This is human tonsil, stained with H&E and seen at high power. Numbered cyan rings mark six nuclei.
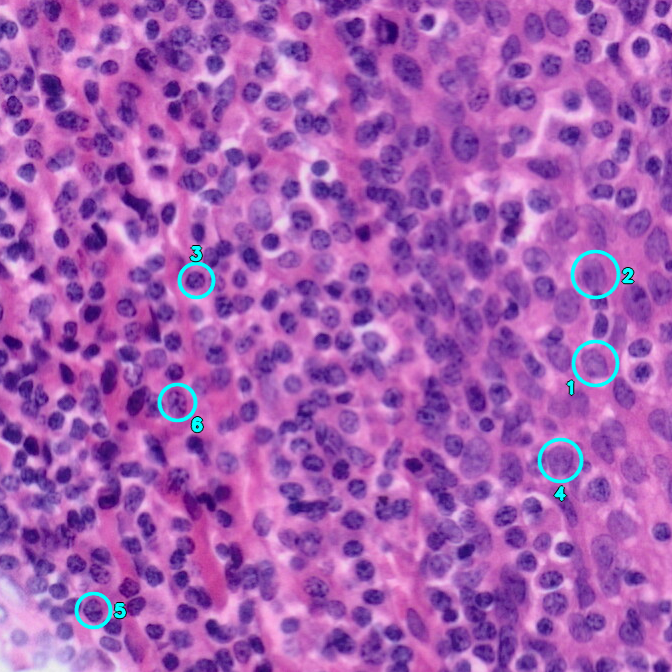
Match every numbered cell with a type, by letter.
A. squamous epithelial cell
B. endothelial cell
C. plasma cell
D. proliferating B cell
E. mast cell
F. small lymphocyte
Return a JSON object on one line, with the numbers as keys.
{"1": "A", "2": "A", "3": "C", "4": "A", "5": "C", "6": "C"}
